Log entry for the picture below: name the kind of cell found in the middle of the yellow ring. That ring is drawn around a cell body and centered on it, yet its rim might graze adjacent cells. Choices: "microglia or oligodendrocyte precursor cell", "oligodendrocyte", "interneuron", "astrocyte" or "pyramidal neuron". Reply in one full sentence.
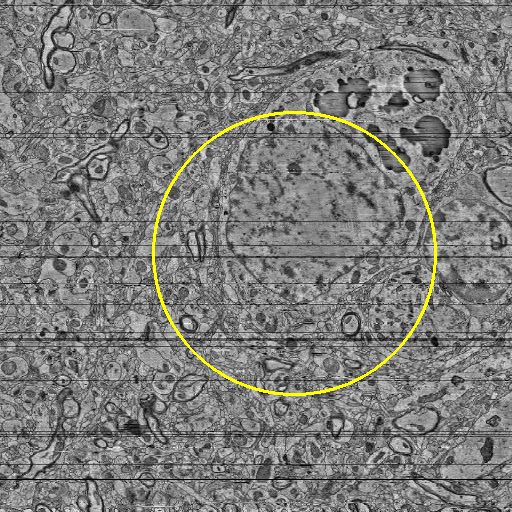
The cell in the middle of the yellow ring in this picture is an interneuron.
